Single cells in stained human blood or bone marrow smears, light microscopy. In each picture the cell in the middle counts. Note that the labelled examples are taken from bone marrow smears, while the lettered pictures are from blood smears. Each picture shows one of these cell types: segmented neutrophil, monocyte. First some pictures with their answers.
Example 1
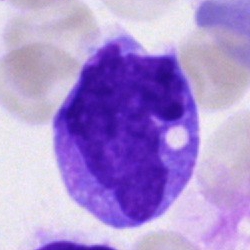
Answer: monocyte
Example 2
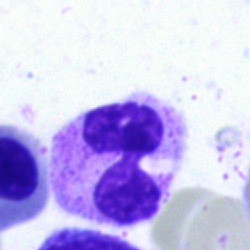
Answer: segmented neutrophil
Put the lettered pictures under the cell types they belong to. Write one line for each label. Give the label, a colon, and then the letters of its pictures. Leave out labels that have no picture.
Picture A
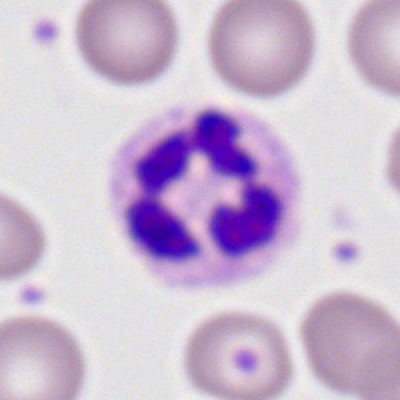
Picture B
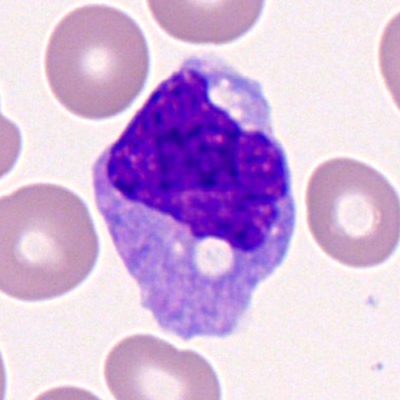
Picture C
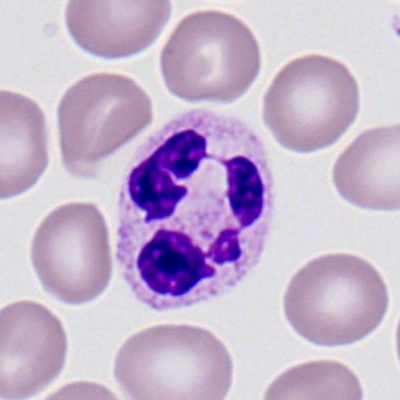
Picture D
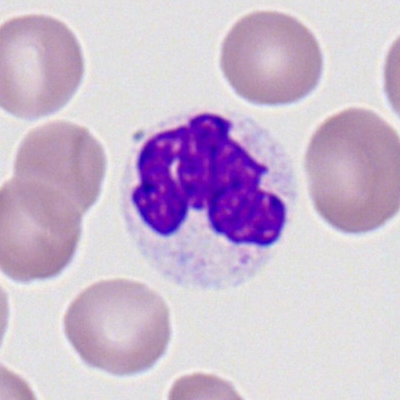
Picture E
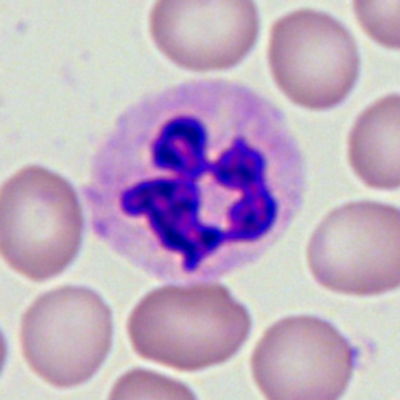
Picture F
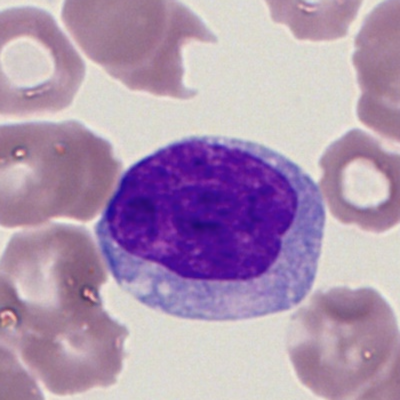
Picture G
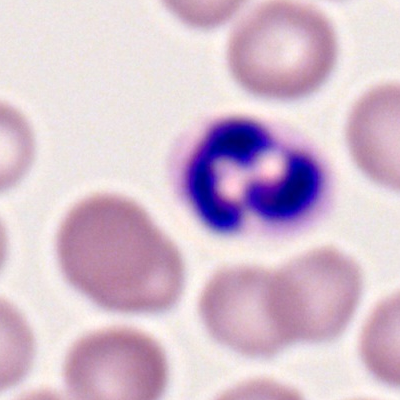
segmented neutrophil: A, C, D, E, G
monocyte: B, F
